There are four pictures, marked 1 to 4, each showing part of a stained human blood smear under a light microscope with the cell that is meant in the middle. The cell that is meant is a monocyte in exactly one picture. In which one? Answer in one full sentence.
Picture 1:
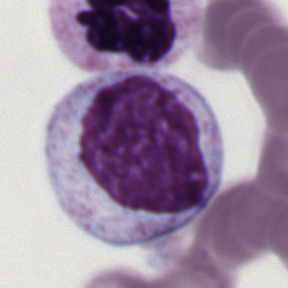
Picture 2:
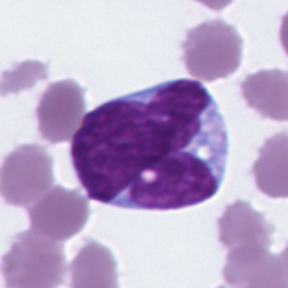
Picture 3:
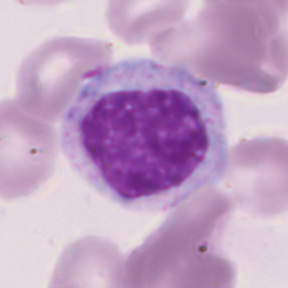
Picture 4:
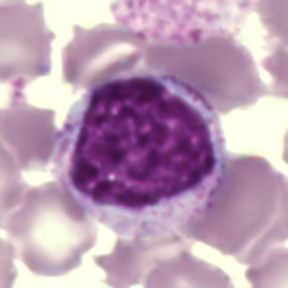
It is picture 2 that shows the monocyte.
